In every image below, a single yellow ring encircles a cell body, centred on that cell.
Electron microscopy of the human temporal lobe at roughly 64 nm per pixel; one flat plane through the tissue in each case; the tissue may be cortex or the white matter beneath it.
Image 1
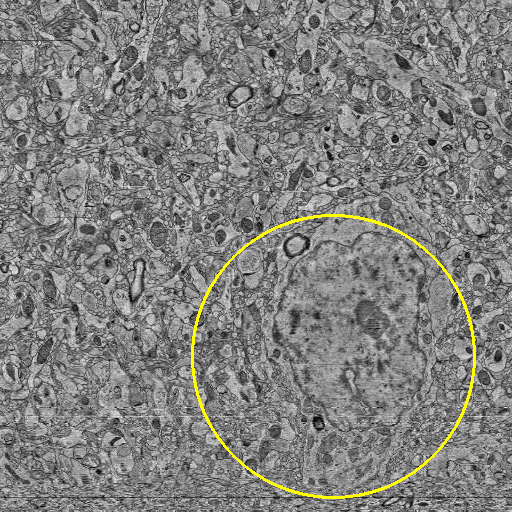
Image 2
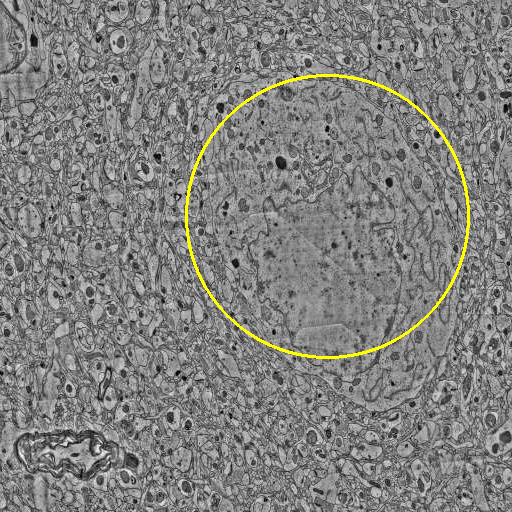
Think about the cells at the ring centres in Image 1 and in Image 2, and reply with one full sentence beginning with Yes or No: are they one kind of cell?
Yes, the cells centred in the rings of Image 1 and Image 2 are one kind of cell.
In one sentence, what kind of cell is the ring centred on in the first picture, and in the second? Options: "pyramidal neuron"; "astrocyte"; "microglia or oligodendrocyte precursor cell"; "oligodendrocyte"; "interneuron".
In each picture the ringed cell is an interneuron.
